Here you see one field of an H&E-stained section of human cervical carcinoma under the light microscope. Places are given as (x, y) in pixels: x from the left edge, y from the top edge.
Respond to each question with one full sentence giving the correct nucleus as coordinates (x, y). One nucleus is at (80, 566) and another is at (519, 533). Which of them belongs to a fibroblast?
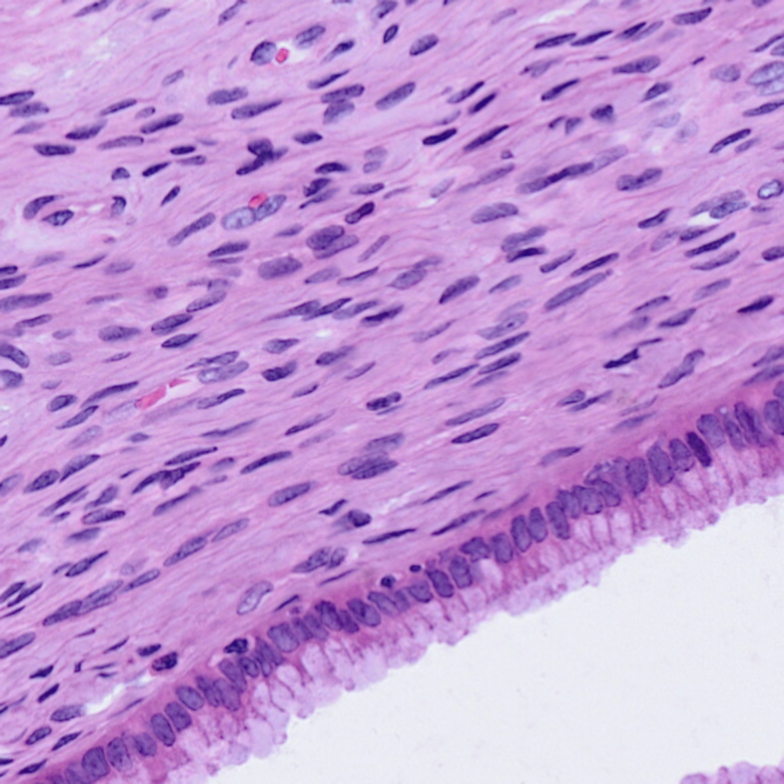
The member of the pair belonging to a fibroblast is the nucleus at (80, 566).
